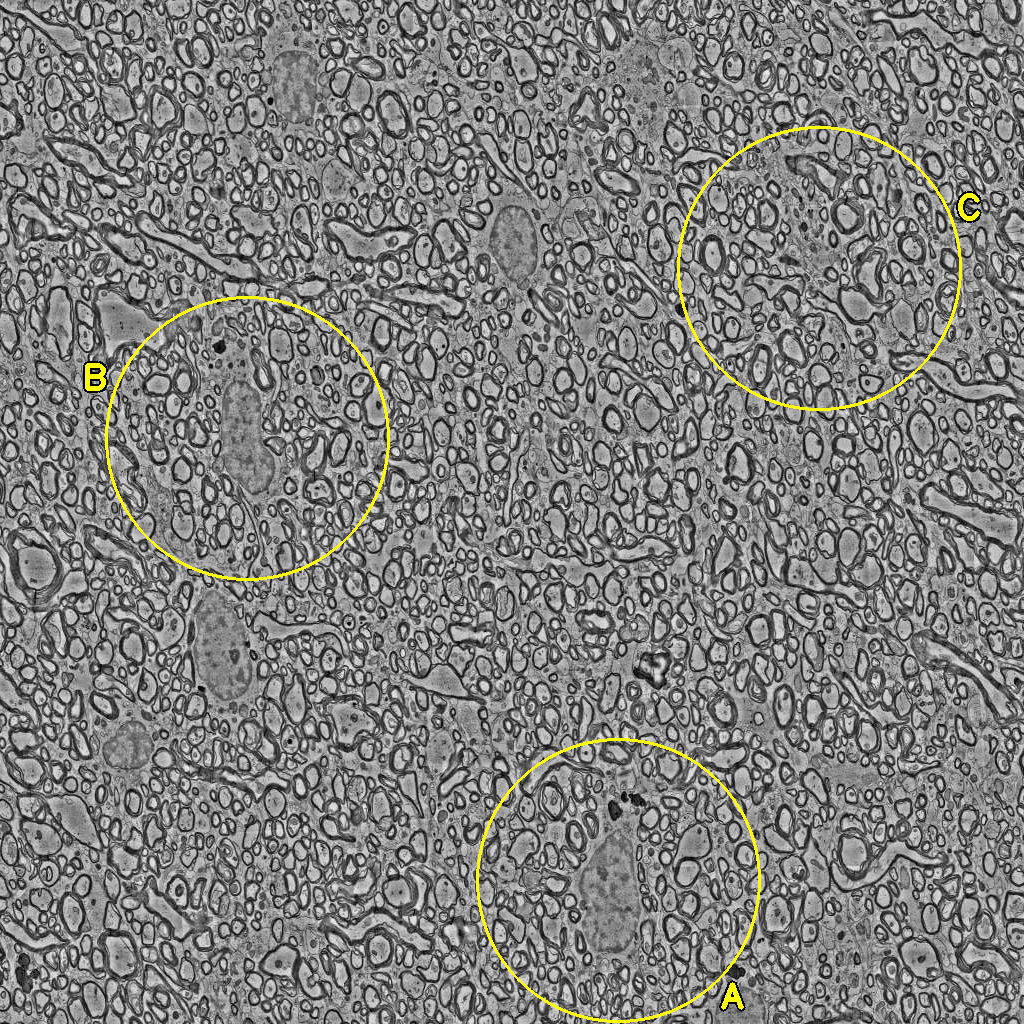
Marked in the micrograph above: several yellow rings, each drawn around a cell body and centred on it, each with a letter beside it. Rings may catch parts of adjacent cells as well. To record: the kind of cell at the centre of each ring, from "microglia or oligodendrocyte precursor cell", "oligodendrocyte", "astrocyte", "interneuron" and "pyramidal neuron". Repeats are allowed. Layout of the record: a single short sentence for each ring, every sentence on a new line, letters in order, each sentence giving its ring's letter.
At the centre of ring A lies an oligodendrocyte.
At the centre of ring B lies an oligodendrocyte.
At the centre of ring C lies an astrocyte.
